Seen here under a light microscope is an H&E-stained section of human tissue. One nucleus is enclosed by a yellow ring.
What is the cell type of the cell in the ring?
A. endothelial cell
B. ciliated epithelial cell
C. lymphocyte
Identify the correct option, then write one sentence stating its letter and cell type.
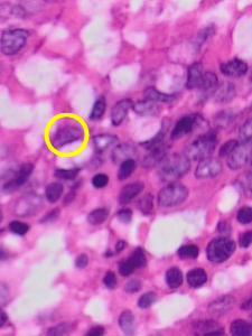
In short, option B: the cell in the ring is a ciliated epithelial cell.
